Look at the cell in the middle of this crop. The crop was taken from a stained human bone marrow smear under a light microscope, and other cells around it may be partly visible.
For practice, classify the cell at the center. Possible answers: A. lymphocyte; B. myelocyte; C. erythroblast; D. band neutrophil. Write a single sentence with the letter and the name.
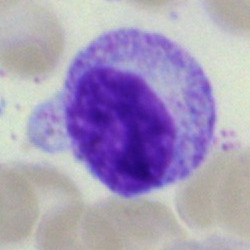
Option B is the correct selection, for the cell at the centre is a myelocyte.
